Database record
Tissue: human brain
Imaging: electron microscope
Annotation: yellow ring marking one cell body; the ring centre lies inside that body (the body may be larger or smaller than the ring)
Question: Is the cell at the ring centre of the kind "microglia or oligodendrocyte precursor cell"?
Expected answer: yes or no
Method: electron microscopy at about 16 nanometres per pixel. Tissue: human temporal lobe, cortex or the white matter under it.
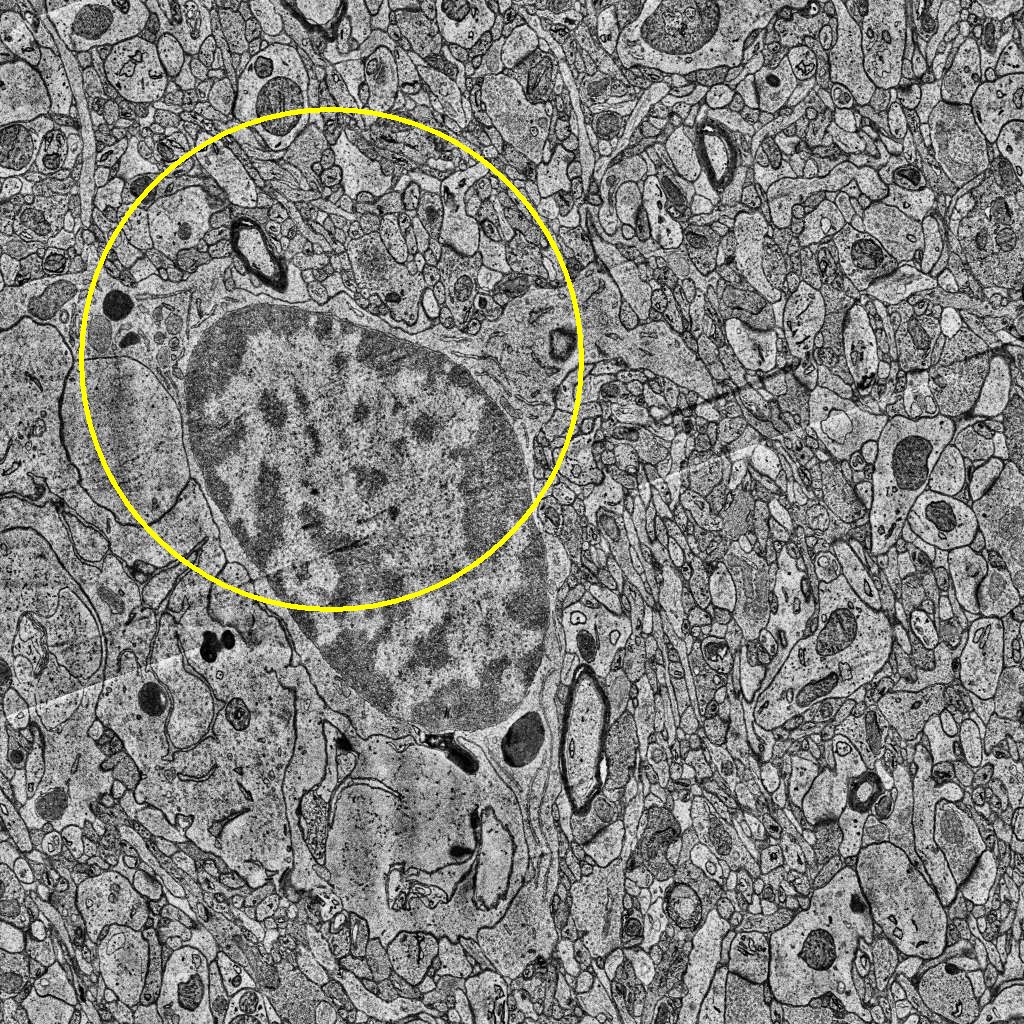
yes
